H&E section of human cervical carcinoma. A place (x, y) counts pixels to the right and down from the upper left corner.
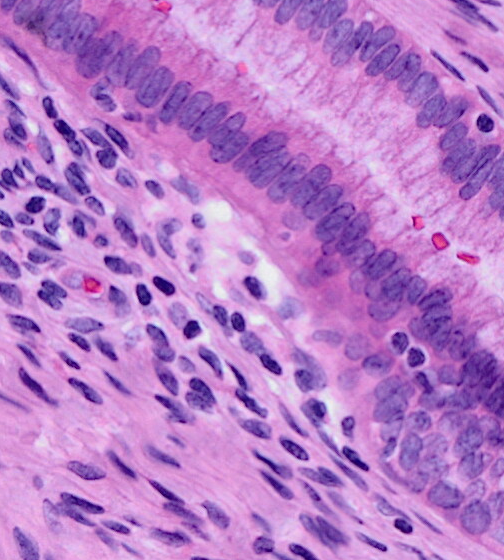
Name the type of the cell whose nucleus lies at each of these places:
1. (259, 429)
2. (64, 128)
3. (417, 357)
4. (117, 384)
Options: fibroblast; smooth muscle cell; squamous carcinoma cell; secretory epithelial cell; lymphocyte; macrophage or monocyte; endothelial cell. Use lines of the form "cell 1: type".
cell 1: fibroblast
cell 2: lymphocyte
cell 3: secretory epithelial cell
cell 4: fibroblast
